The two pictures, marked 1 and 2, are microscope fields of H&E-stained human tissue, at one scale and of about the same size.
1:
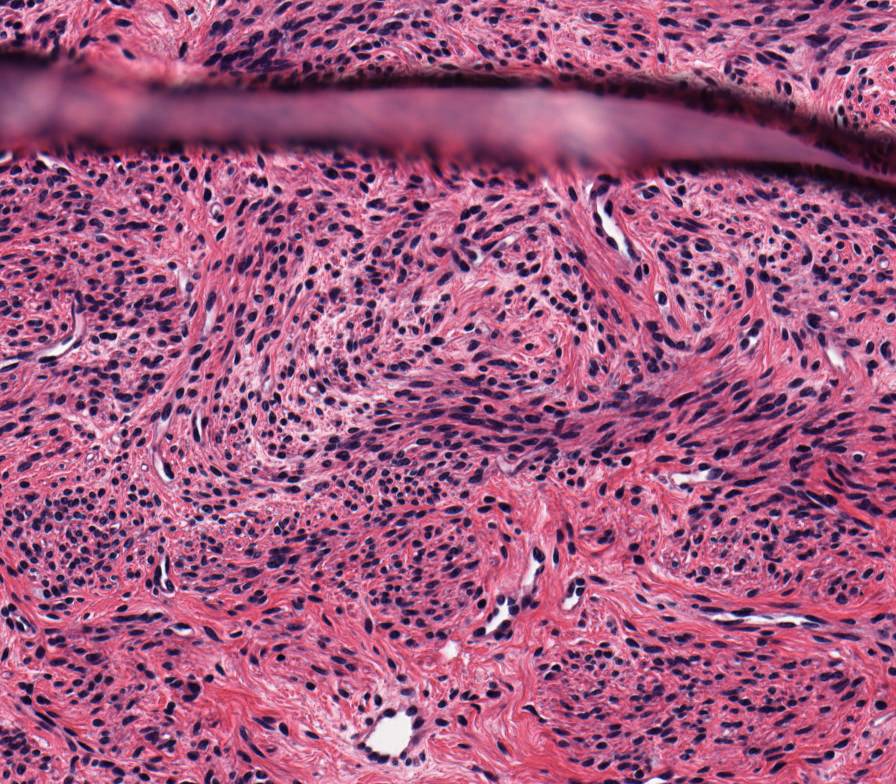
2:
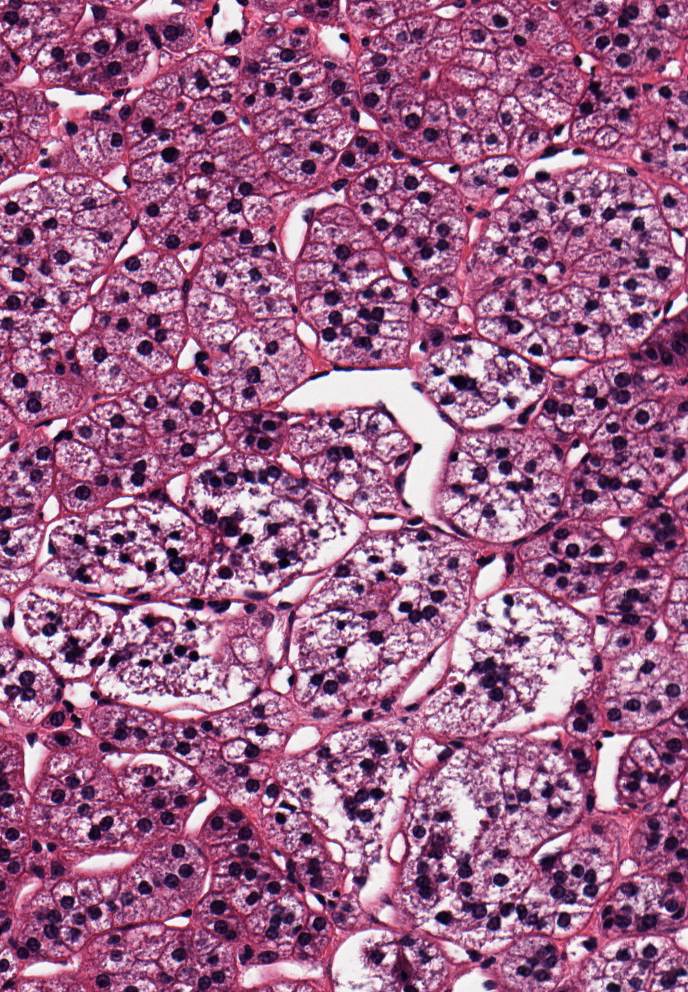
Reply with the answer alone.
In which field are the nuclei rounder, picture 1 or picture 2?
2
